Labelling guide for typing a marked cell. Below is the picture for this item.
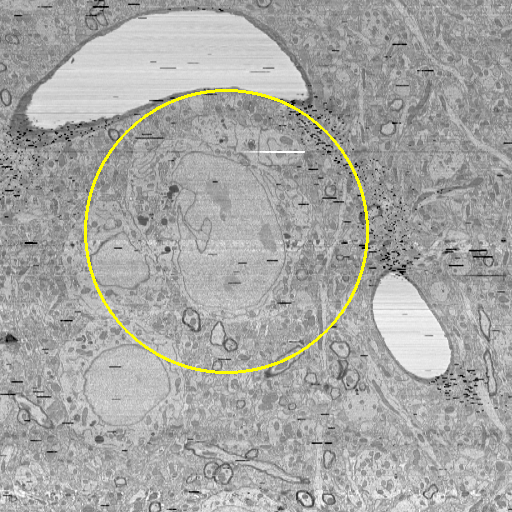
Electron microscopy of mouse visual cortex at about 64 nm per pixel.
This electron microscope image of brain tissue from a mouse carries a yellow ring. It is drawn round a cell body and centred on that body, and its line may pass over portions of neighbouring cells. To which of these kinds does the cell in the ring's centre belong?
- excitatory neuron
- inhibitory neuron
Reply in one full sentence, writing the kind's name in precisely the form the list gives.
Here we have an inhibitory neuron at the centre of the yellow ring in the picture.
